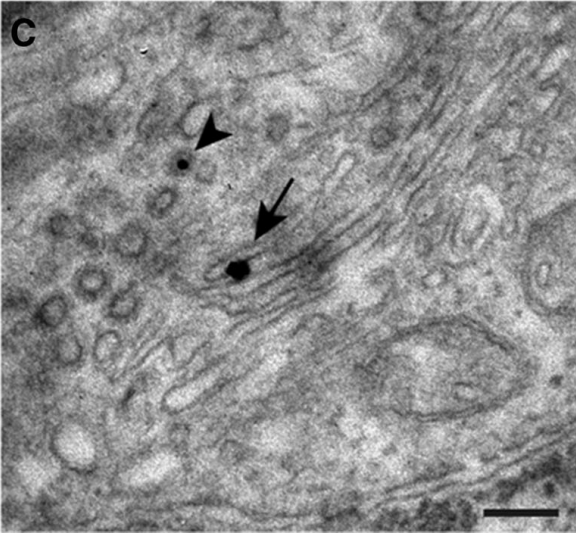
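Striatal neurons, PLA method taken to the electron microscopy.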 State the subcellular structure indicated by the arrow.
Cisternae of the Golgi apparatus.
